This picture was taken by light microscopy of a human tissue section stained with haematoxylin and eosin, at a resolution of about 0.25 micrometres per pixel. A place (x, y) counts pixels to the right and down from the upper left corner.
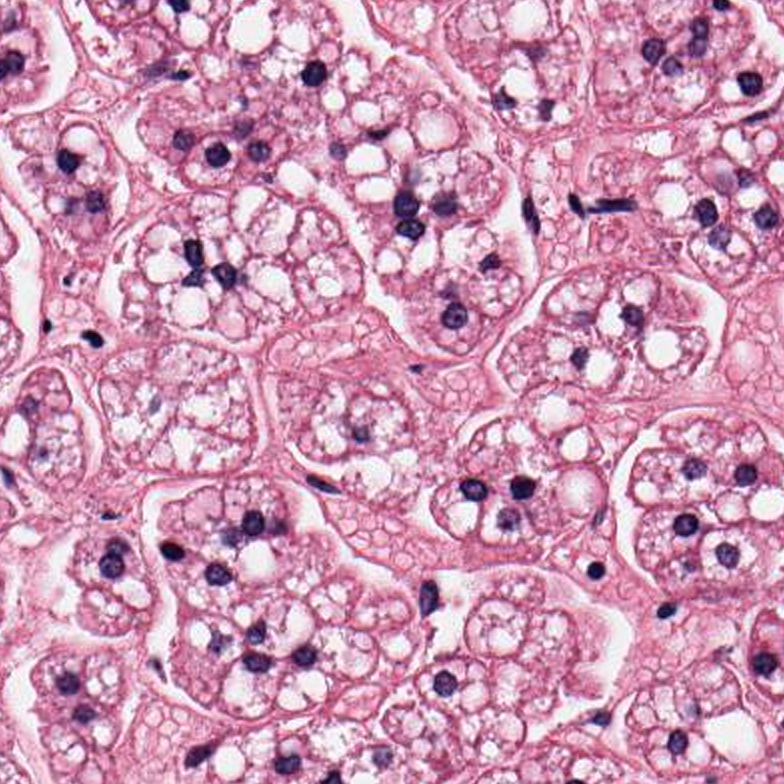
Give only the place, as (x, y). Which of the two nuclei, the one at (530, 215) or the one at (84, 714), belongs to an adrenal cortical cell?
(84, 714)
